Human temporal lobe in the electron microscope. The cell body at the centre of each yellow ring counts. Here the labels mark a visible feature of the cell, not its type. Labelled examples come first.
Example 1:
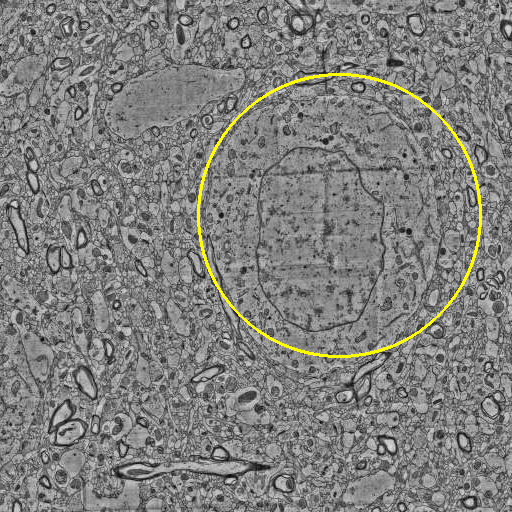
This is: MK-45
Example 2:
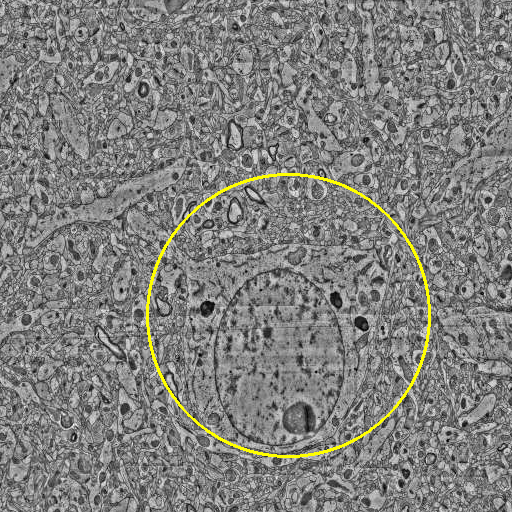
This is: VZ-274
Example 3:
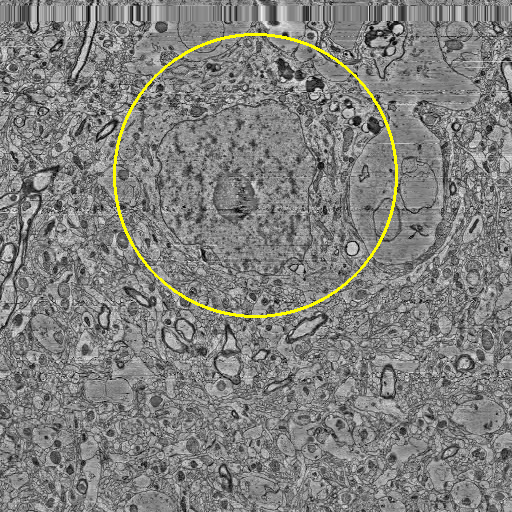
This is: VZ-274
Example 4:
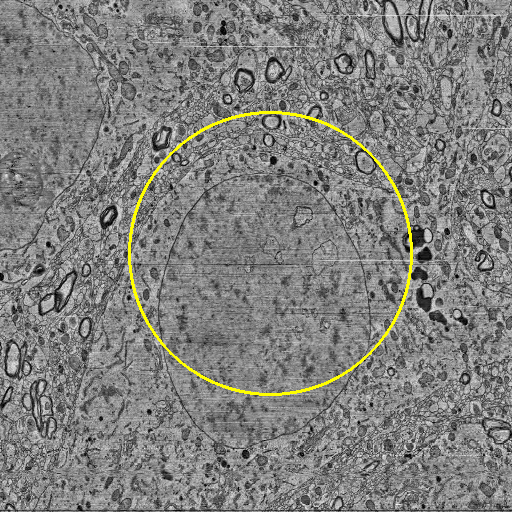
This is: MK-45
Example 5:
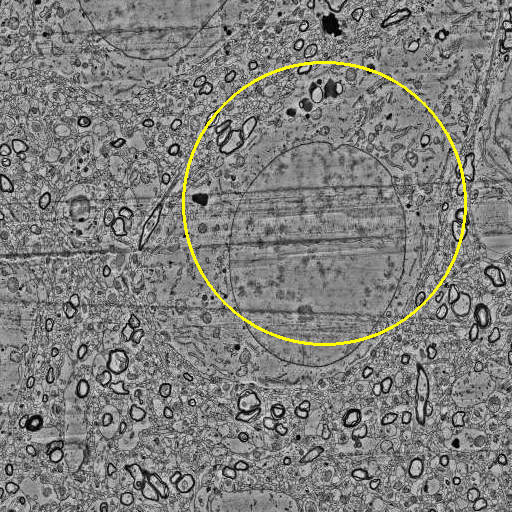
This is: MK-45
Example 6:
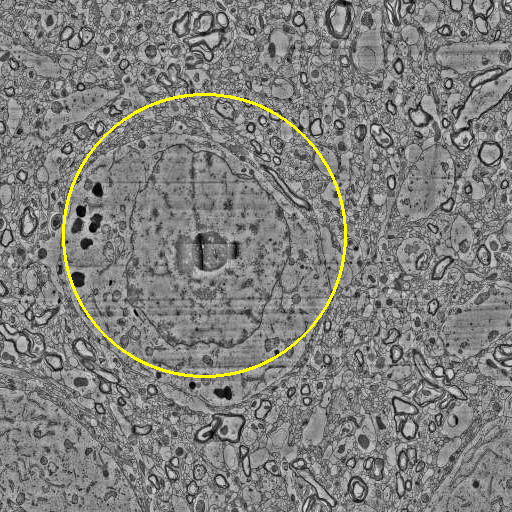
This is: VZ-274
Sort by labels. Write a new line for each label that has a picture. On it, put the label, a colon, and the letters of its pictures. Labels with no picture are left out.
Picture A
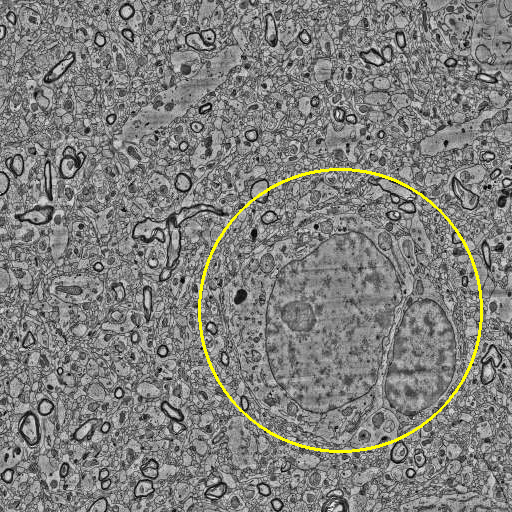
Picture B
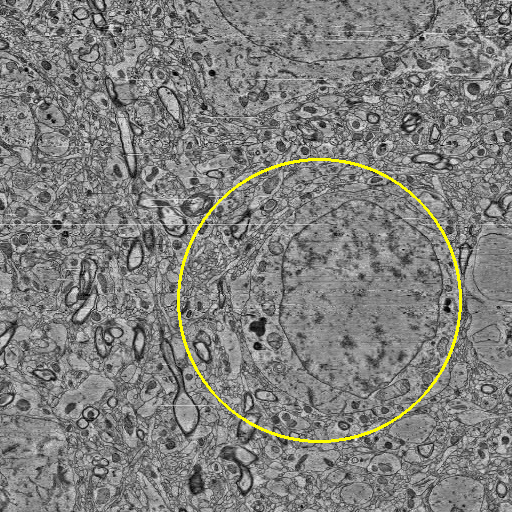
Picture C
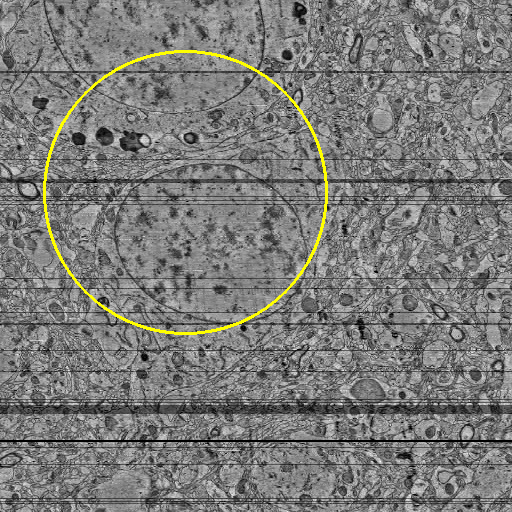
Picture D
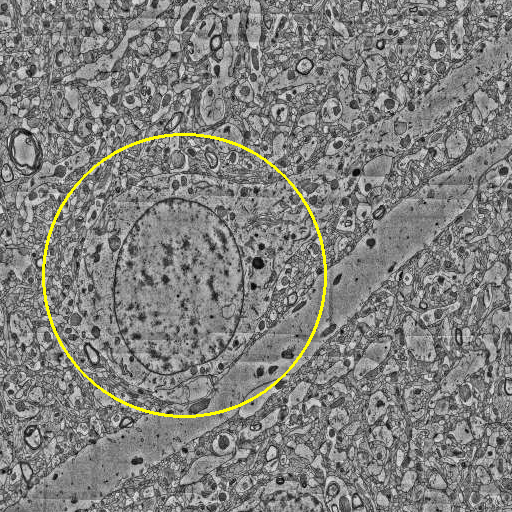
MK-45: B, C, D
VZ-274: A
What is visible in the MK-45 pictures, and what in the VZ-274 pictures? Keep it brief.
MK-45: no nucleolus seen; VZ-274: nucleolus seen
